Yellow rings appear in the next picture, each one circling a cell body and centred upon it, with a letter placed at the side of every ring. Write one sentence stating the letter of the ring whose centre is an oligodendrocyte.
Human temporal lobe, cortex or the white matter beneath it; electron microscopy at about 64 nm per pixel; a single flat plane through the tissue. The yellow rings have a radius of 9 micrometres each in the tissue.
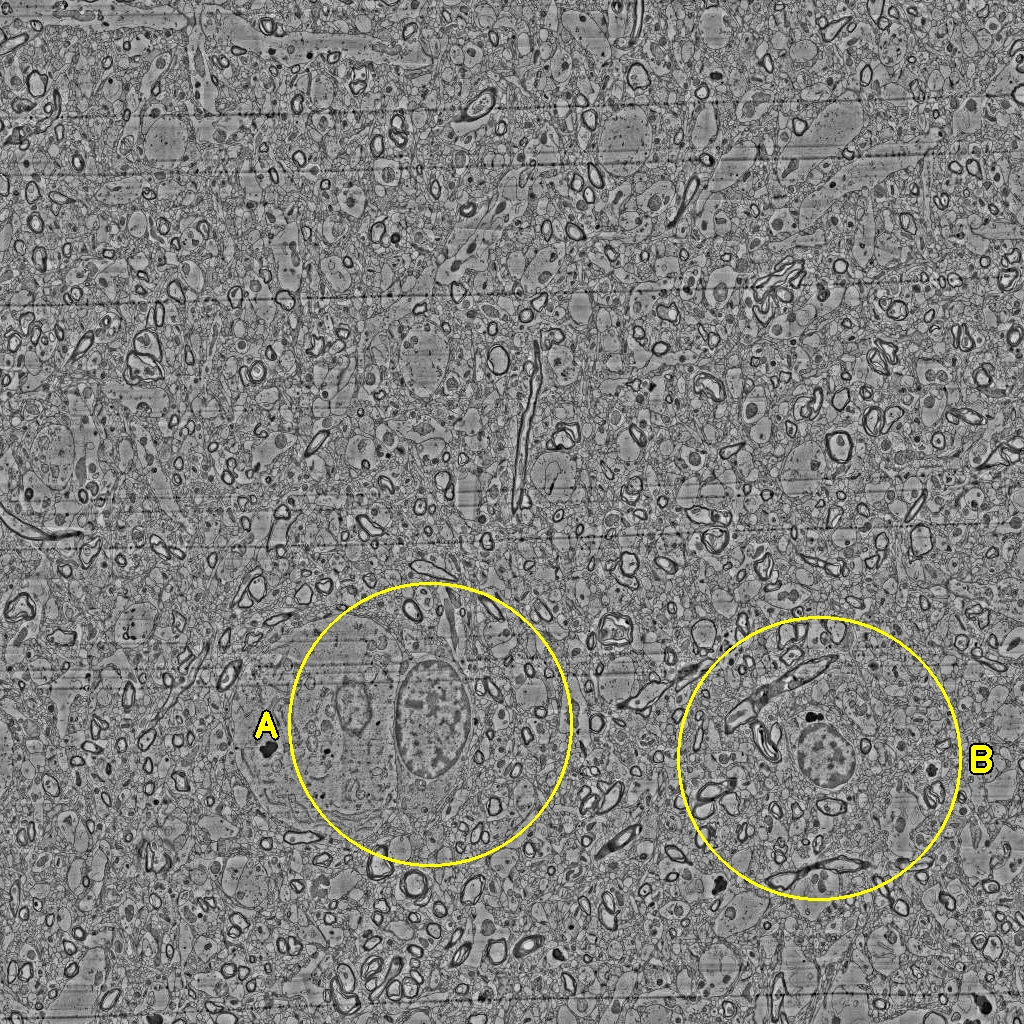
In the picture, the cell asked for lies at the centre of ring A.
